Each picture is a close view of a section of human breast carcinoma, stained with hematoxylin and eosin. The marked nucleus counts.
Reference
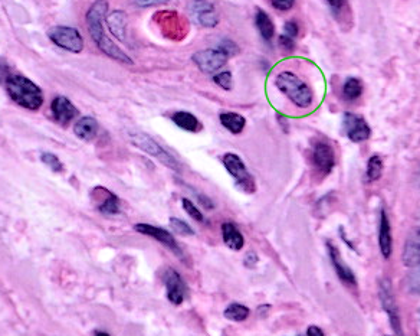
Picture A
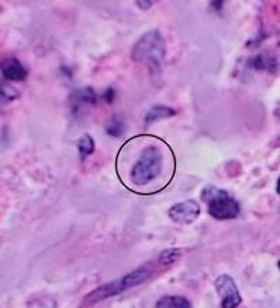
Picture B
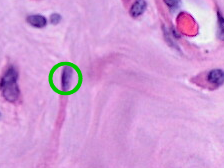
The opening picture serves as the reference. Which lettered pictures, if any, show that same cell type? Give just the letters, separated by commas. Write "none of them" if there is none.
A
